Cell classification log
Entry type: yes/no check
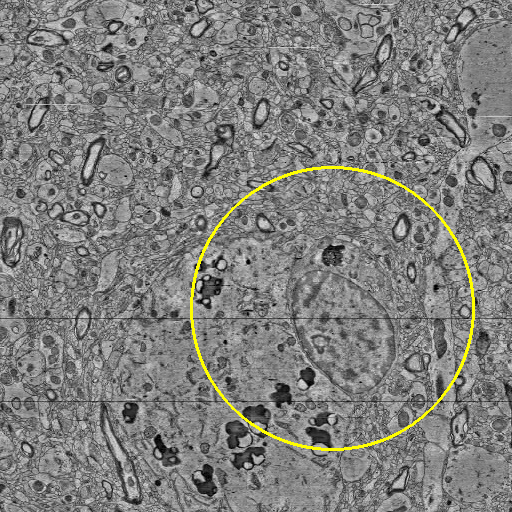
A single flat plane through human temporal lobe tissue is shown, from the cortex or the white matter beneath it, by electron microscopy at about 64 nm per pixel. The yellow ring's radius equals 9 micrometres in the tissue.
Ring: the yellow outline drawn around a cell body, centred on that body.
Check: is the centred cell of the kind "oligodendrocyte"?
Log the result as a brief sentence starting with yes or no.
Yes, the cell is of that kind.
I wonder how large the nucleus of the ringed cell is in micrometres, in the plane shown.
Approximately 9 micrometres long and 6 micrometres wide, in this plane.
